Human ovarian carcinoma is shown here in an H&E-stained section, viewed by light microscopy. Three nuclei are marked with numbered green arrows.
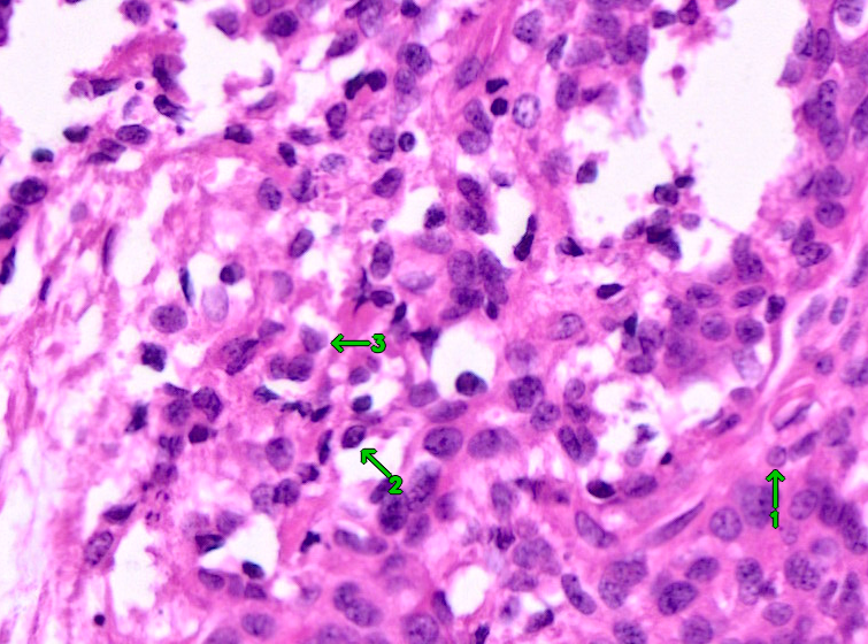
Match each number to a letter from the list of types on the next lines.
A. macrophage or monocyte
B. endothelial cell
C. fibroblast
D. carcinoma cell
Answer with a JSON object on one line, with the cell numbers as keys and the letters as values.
{"1": "A", "2": "D", "3": "D"}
